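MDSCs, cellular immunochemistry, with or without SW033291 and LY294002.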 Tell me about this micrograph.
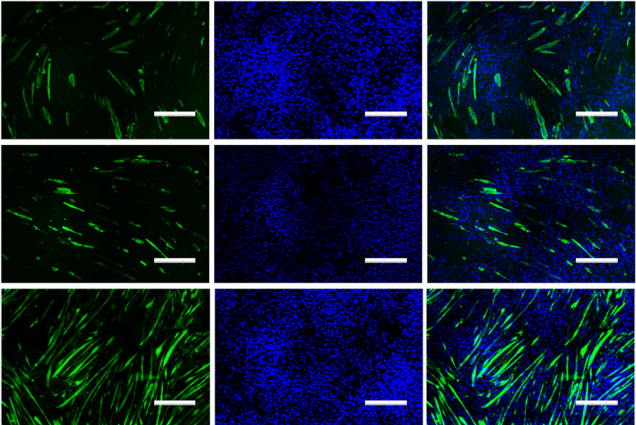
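A grid of fluorescence images of a dense cultured cell layer, with blue nuclei packed across every field and green-stained myotubes scattered among them. The myotubes are long, thin and spindle- to fiber-shaped, many lying roughly parallel to one another. In the bottom row they are much more numerous and longer than in the upper rows.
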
